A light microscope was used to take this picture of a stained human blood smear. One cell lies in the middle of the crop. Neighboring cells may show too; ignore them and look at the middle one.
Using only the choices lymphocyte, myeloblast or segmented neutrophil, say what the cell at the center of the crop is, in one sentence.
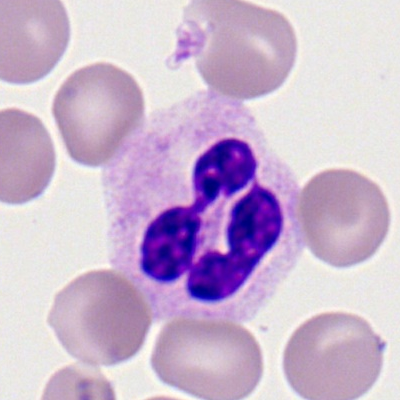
This crop is built around a segmented neutrophil at its centre.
